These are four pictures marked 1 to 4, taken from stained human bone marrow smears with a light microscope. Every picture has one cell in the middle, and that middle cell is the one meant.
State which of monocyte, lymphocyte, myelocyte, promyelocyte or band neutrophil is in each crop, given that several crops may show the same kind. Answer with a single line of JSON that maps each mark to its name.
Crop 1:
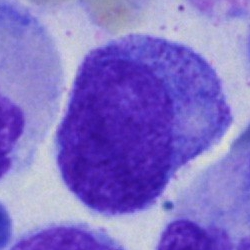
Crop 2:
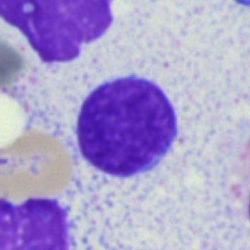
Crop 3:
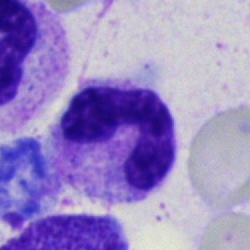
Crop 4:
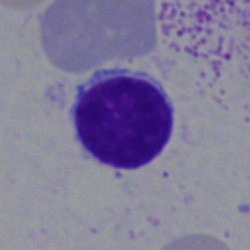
{"1": "promyelocyte", "2": "lymphocyte", "3": "band neutrophil", "4": "lymphocyte"}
